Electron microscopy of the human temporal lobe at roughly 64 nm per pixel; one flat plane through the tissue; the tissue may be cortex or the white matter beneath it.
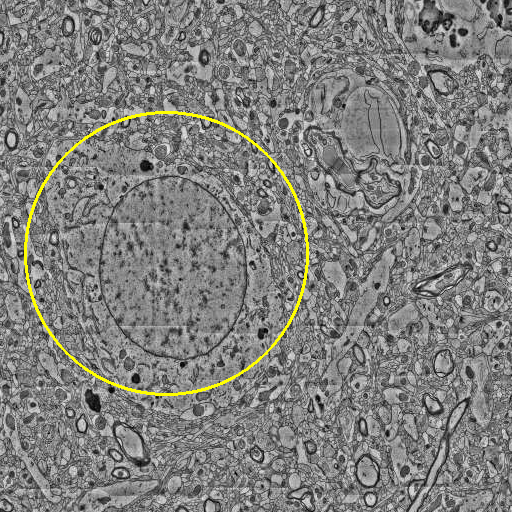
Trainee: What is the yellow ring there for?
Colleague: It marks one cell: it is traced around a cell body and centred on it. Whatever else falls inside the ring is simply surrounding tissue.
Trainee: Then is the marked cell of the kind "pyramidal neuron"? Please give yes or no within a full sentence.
Yes, the marked cell at the centre of the yellow ring is of the kind asked about.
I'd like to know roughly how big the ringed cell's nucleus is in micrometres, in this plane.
The nucleus is approximately 12 micrometers long by 9 micrometers wide in this plane.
